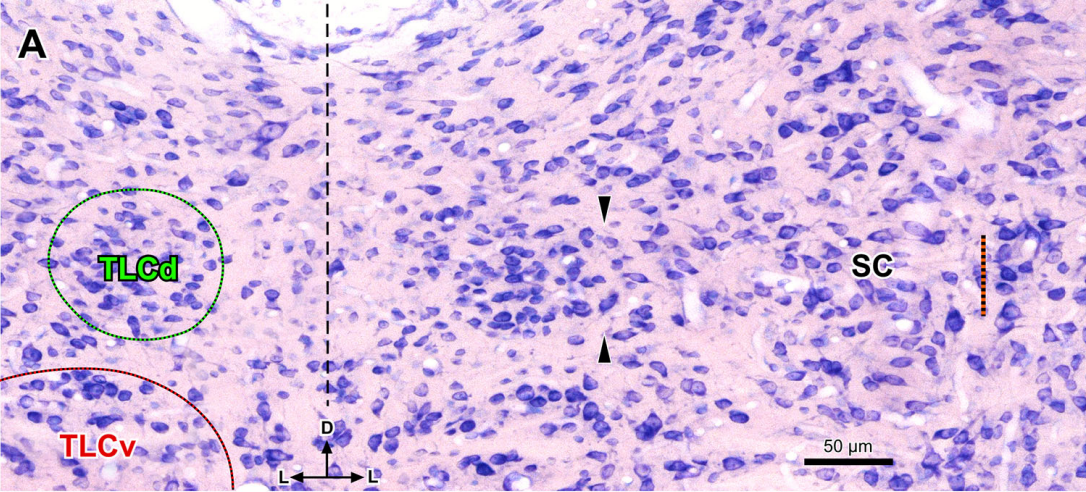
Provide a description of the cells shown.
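This coronal section shows neurons stained deep blue on a pink background of neuropil. Within the green outline, and again in the cluster between the arrowheads, the neurons are small, fairly uniform and closely packed. The neurons in the red outline and to the right of the arrowheads are on average larger, more varied in shape and more loosely spaced. Small round pale holes in the neuropil are vessel profiles.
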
